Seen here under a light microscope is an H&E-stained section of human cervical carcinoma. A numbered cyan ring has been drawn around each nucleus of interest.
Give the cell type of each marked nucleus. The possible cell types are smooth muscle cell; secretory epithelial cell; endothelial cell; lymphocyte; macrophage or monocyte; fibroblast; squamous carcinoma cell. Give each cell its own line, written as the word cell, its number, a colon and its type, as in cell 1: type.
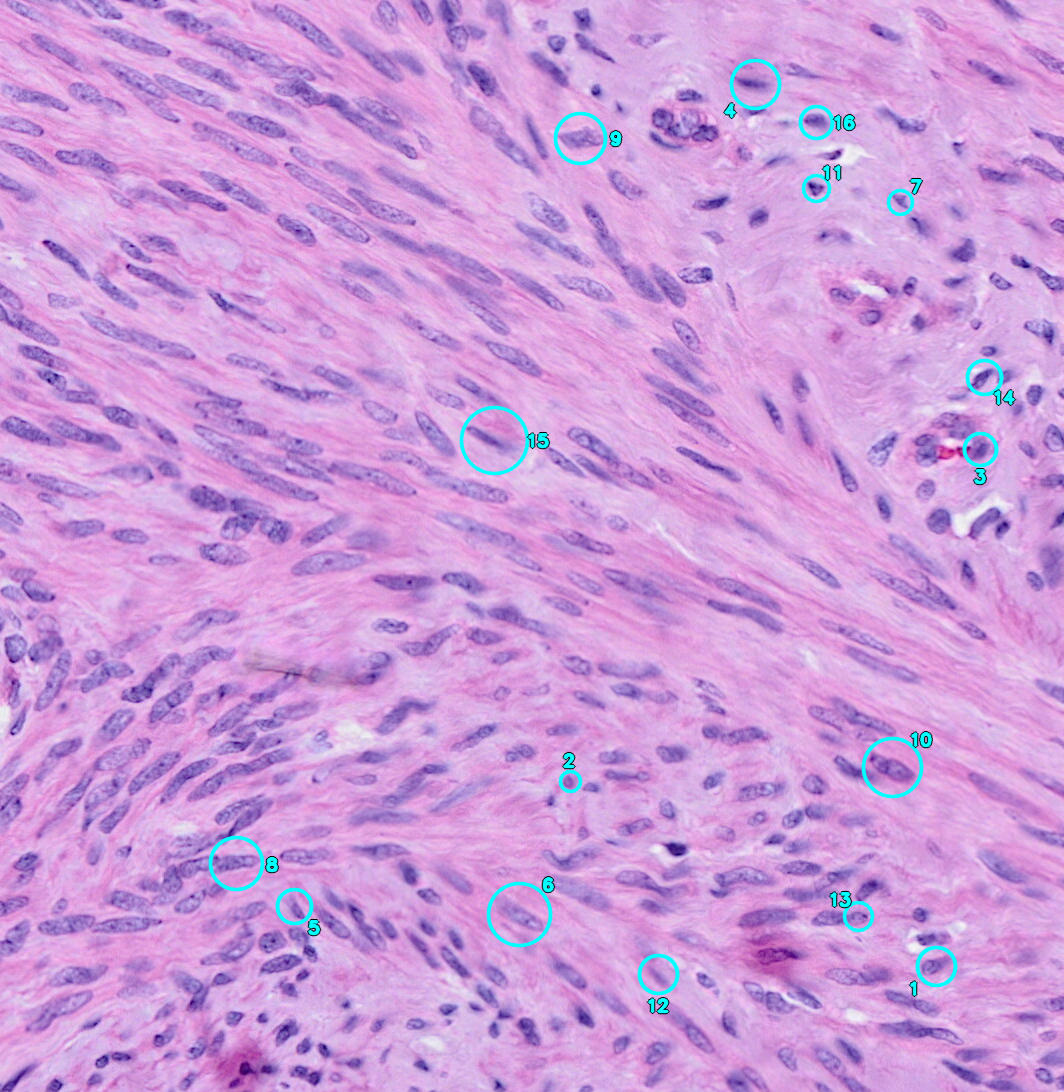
cell 1: smooth muscle cell
cell 2: smooth muscle cell
cell 3: endothelial cell
cell 4: fibroblast
cell 5: smooth muscle cell
cell 6: smooth muscle cell
cell 7: fibroblast
cell 8: smooth muscle cell
cell 9: fibroblast
cell 10: smooth muscle cell
cell 11: fibroblast
cell 12: smooth muscle cell
cell 13: smooth muscle cell
cell 14: fibroblast
cell 15: smooth muscle cell
cell 16: fibroblast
